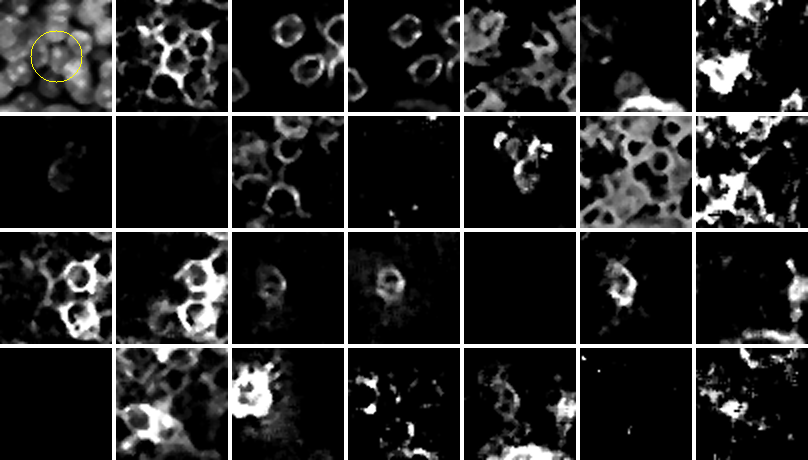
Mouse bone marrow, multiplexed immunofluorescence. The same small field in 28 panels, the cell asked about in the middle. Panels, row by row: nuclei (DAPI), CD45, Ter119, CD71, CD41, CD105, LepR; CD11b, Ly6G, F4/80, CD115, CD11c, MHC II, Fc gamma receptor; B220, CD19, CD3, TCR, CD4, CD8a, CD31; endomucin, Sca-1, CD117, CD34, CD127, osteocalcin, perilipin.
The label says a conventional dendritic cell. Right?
Right.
